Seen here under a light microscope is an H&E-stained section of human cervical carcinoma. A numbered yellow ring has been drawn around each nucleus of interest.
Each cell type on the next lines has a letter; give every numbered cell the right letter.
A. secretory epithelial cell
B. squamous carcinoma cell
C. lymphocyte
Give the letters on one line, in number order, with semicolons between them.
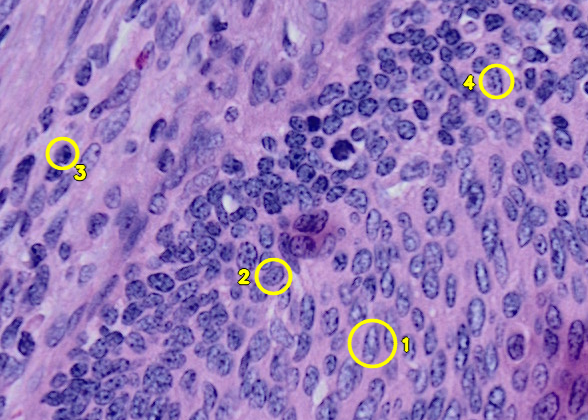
B; B; C; B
